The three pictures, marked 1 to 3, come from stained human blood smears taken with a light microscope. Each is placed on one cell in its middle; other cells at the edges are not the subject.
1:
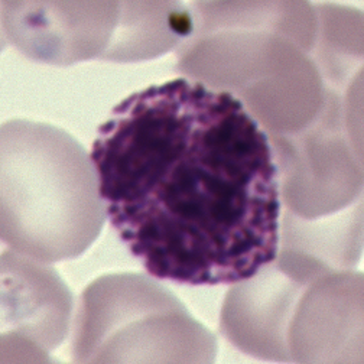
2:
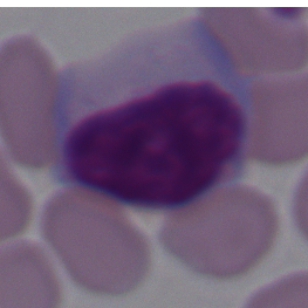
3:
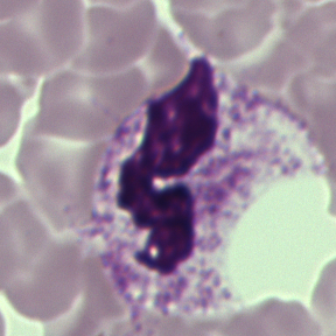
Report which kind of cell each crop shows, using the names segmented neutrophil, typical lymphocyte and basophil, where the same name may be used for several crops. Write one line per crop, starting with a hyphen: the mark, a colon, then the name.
- 1: basophil
- 2: typical lymphocyte
- 3: segmented neutrophil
